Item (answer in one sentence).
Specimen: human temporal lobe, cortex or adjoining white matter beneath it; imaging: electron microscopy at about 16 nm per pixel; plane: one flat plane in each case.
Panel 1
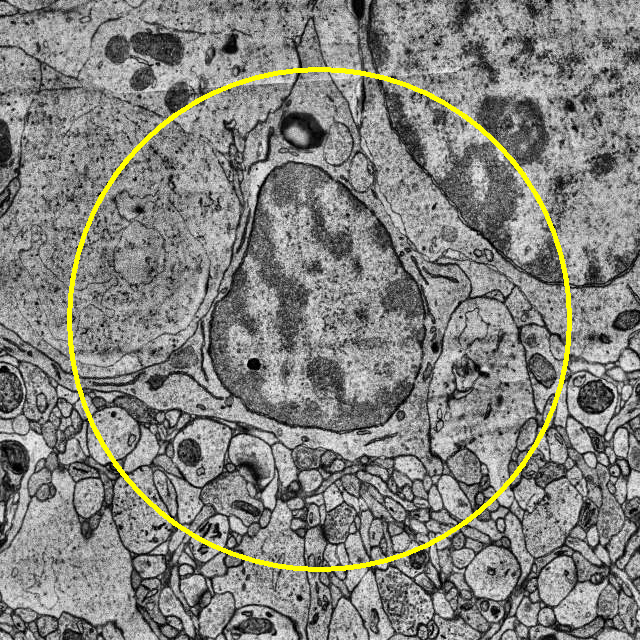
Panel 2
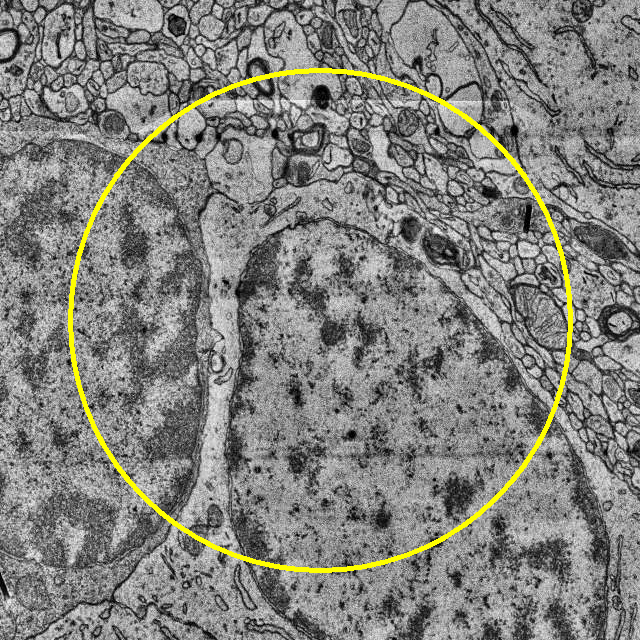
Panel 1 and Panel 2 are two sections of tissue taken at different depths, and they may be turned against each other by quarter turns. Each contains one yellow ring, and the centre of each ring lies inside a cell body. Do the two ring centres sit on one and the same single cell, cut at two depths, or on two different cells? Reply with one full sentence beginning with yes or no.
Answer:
No, the rings surround different cells rather than one cell.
